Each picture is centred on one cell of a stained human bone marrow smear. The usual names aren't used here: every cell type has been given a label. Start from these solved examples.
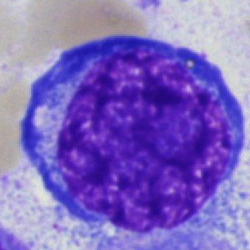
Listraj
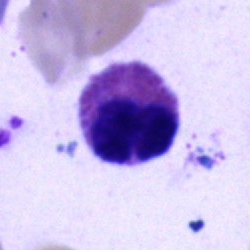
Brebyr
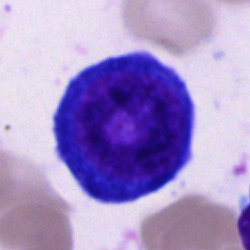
Listraj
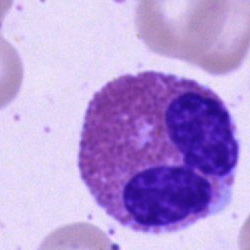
Brebyr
